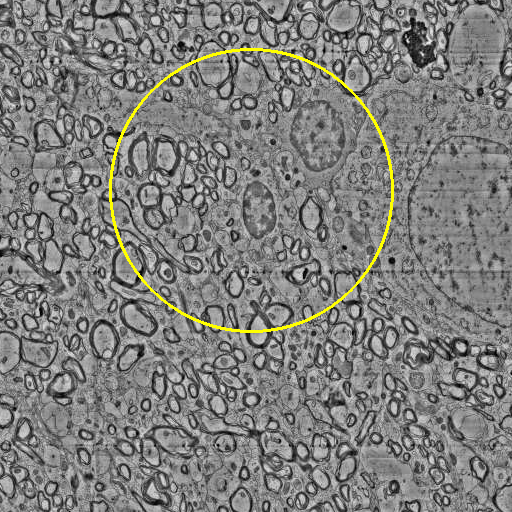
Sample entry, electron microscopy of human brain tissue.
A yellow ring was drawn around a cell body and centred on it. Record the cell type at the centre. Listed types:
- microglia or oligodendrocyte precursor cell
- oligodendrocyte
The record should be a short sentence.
The cell at the ring's centre is a microglial cell or oligodendrocyte precursor cell.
